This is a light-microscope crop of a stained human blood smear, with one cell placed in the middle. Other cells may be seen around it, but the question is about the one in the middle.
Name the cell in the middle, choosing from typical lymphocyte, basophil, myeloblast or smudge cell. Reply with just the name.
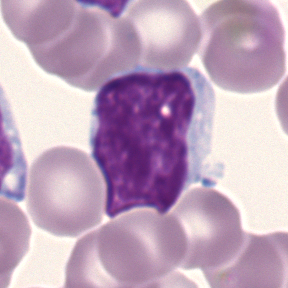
typical lymphocyte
